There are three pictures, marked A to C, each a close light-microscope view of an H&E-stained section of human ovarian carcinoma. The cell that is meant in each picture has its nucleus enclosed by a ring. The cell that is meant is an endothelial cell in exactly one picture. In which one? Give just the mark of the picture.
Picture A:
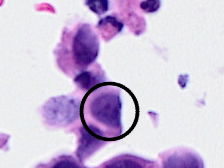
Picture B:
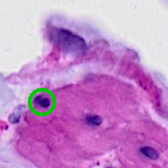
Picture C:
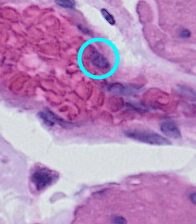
C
